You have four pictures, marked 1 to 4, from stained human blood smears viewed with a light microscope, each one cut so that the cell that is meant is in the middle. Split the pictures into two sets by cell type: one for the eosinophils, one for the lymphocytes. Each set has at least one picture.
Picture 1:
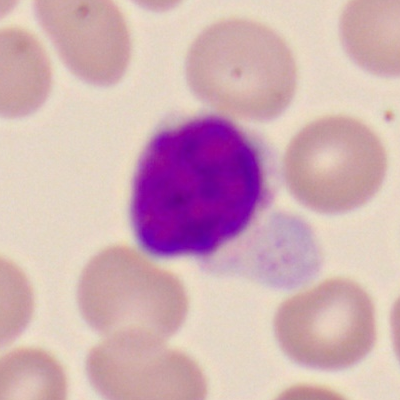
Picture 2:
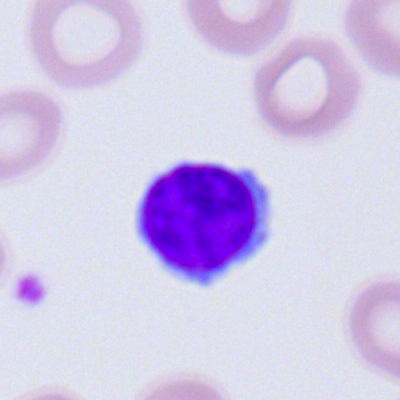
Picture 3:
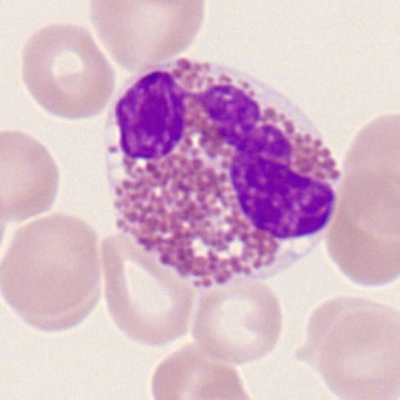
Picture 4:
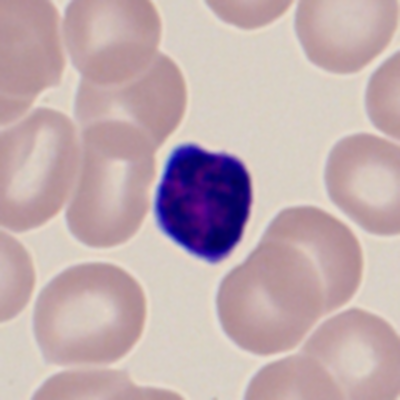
1: lymphocyte
2: lymphocyte
3: eosinophil
4: lymphocyte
